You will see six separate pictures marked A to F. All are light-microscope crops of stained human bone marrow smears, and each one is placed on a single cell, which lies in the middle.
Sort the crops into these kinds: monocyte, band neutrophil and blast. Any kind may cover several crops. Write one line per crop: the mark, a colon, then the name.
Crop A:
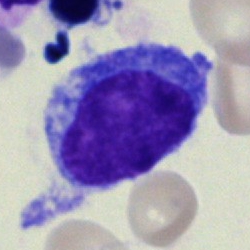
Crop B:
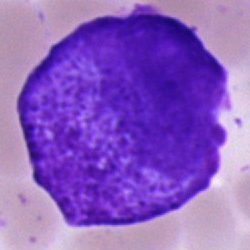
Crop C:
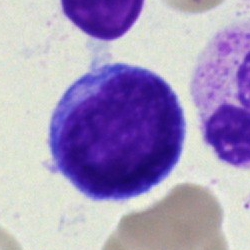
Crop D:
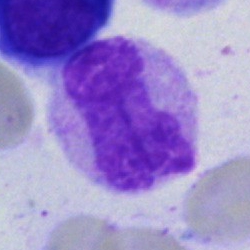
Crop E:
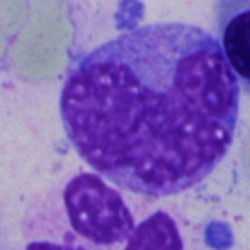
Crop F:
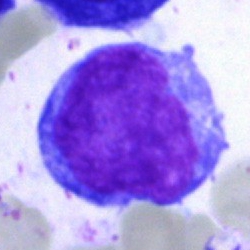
A: blast
B: blast
C: blast
D: band neutrophil
E: monocyte
F: blast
